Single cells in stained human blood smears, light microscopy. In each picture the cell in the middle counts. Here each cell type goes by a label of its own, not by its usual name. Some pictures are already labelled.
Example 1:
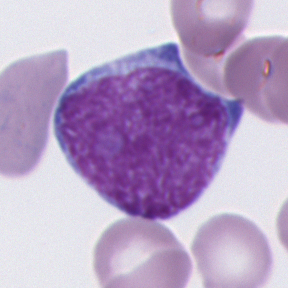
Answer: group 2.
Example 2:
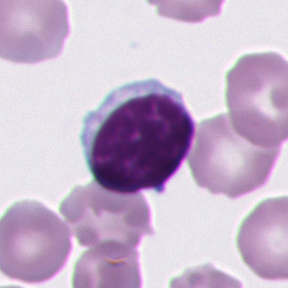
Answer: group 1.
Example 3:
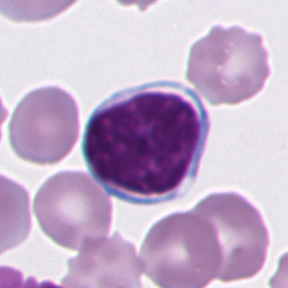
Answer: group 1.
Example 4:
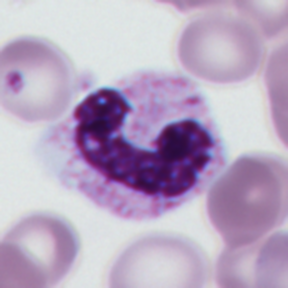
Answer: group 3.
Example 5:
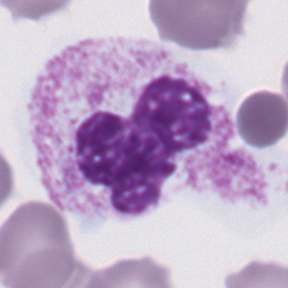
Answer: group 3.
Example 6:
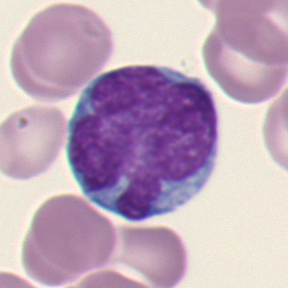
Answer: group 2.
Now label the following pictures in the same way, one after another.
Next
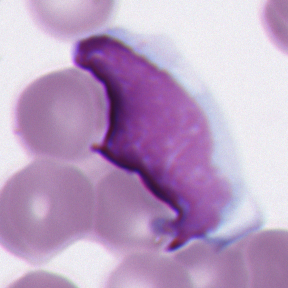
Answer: group 1.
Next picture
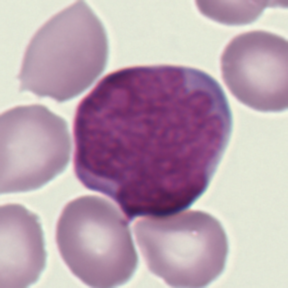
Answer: group 2.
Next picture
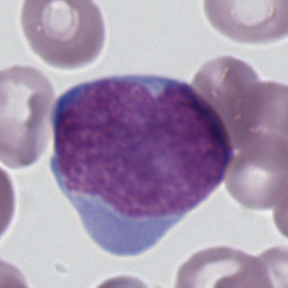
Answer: group 2.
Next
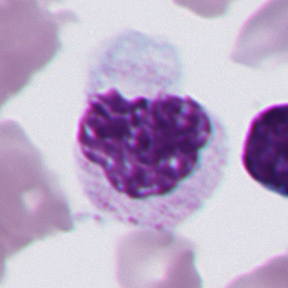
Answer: group 3.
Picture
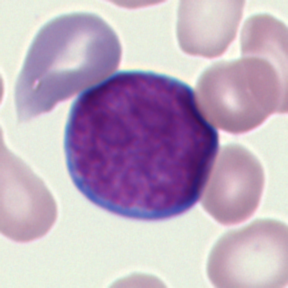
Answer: group 2.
